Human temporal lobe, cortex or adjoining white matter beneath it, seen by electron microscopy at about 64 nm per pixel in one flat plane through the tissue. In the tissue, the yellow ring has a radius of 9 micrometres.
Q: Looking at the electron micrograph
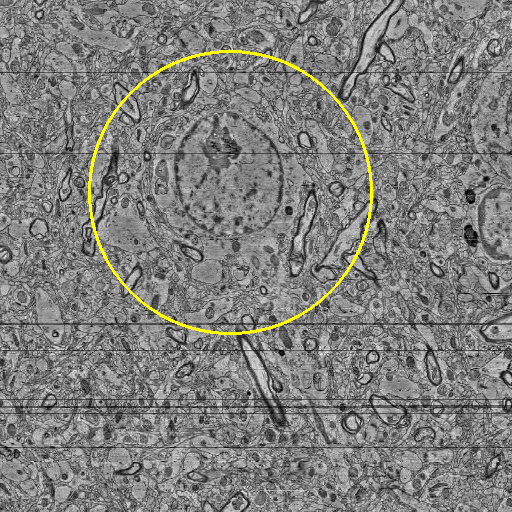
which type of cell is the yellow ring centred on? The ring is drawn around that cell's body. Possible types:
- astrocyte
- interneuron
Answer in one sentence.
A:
The yellow ring is centred on an astrocyte.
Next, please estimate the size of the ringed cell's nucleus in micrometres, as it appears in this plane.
About 8 by 7 micrometers, in this plane.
